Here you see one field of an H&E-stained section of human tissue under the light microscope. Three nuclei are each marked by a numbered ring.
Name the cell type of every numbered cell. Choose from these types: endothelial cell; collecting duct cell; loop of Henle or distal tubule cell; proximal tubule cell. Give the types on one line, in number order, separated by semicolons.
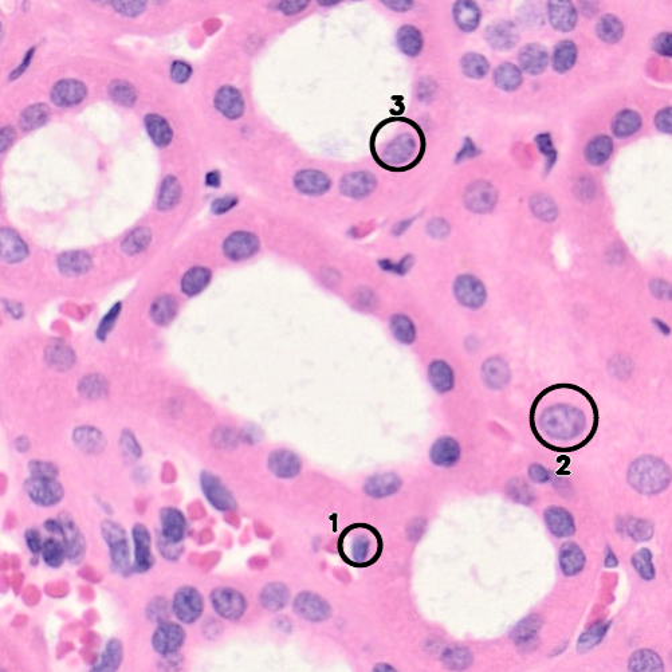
endothelial cell; proximal tubule cell; loop of Henle or distal tubule cell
